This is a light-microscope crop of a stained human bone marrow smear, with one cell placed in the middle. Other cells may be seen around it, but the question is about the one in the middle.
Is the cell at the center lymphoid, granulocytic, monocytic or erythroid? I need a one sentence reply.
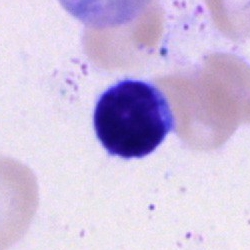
The cell of interest in the center belongs to the lymphoid lineage.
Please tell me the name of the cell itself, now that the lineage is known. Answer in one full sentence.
In the middle of this smear crop is a lymphocyte.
